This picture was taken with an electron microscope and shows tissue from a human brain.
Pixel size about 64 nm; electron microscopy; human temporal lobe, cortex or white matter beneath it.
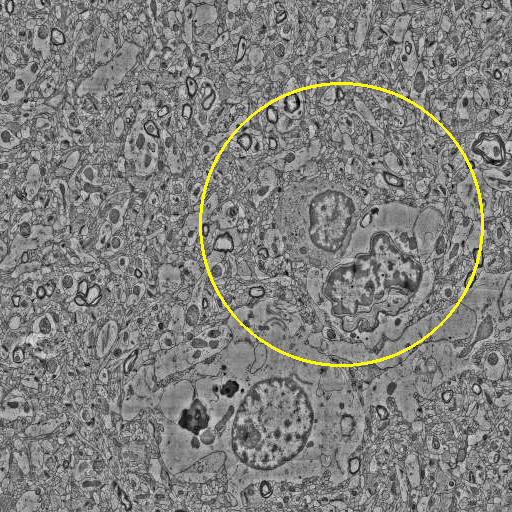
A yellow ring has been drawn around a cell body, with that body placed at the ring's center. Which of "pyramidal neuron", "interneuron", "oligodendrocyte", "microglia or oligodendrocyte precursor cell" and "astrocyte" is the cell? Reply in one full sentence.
In this picture, an oligodendrocyte is the cell at the center of the yellow ring.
